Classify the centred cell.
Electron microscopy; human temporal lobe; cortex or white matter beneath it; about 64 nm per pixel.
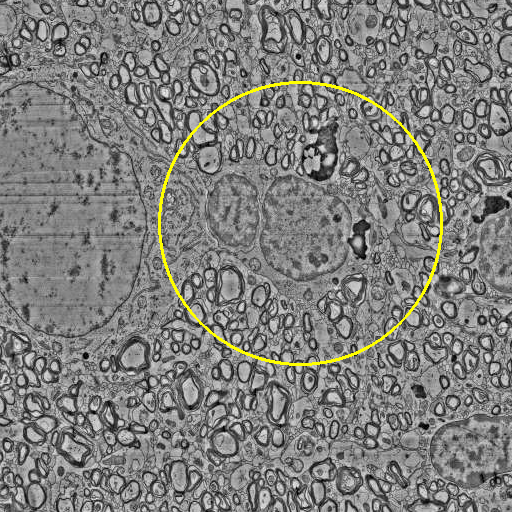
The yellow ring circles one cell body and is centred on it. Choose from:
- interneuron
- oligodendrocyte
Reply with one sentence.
The ring is centred on an oligodendrocyte.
